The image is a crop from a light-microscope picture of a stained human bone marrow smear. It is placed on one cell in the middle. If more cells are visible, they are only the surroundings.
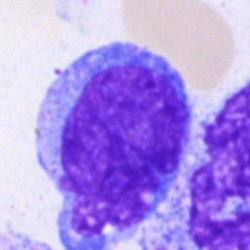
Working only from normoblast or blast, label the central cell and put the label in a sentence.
Whatever else lies nearby, the middle cell is a blast.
